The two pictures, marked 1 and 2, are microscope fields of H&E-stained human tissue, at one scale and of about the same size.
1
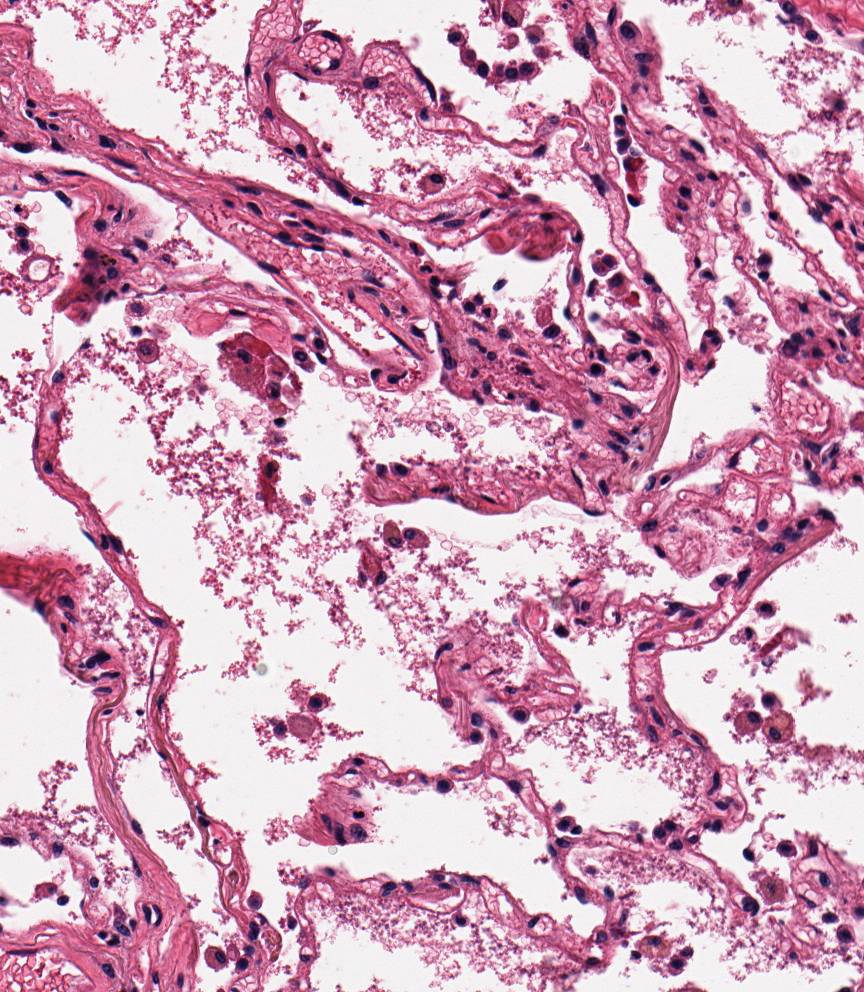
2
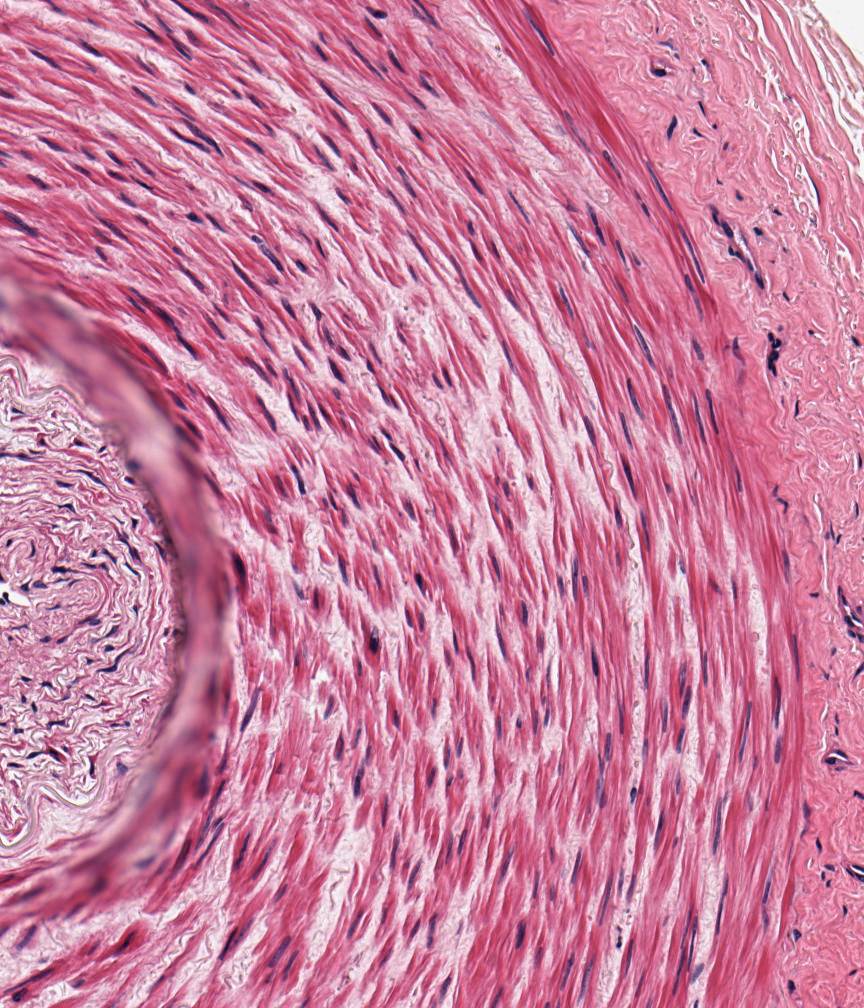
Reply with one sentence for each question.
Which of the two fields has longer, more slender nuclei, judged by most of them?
Longer, more slender nuclei lie in field 2.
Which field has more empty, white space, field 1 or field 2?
It is field 1 in which white space covers the larger part.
